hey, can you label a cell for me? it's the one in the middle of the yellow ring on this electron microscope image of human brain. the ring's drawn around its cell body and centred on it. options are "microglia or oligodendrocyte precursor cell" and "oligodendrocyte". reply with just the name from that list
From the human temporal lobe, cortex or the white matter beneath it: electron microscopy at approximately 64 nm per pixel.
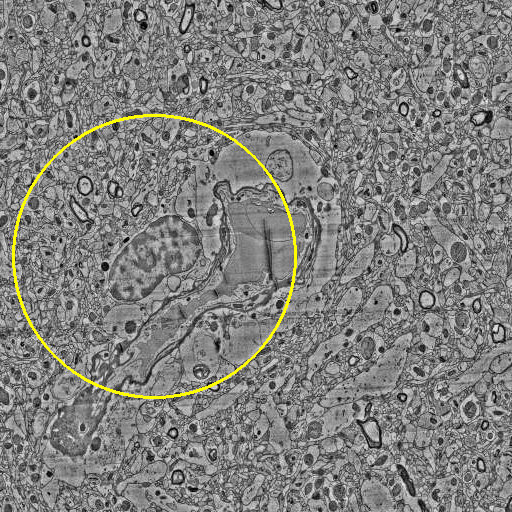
microglia or oligodendrocyte precursor cell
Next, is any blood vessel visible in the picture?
Yes.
